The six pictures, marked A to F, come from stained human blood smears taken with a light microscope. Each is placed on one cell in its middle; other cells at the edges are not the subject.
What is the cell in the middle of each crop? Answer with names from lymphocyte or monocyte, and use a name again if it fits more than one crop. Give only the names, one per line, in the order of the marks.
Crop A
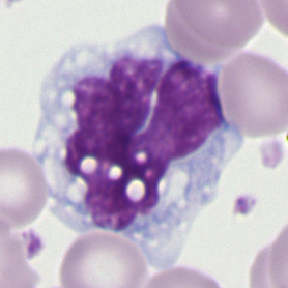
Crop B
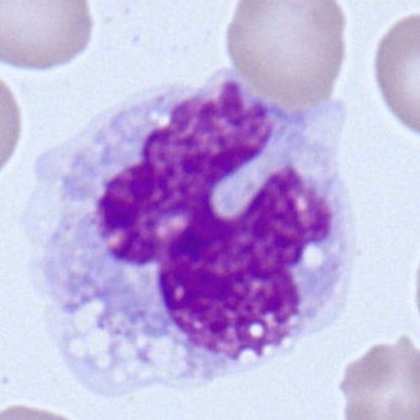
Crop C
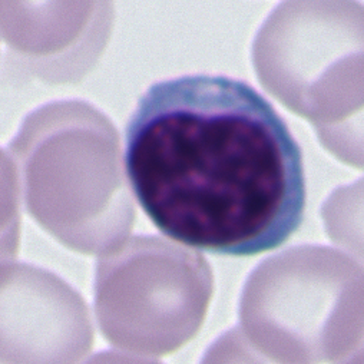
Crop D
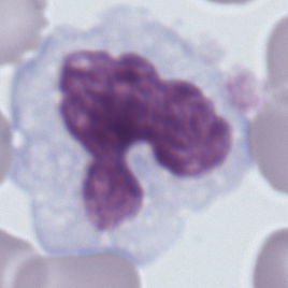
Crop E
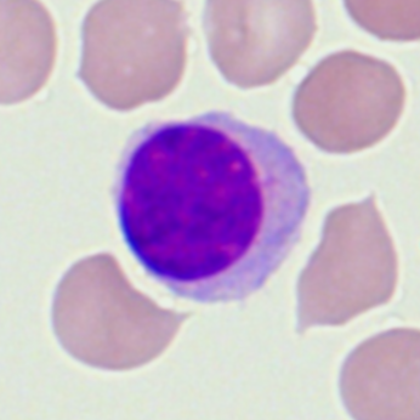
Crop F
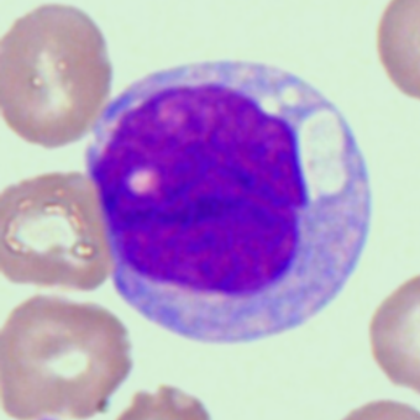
monocyte
monocyte
lymphocyte
monocyte
lymphocyte
monocyte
